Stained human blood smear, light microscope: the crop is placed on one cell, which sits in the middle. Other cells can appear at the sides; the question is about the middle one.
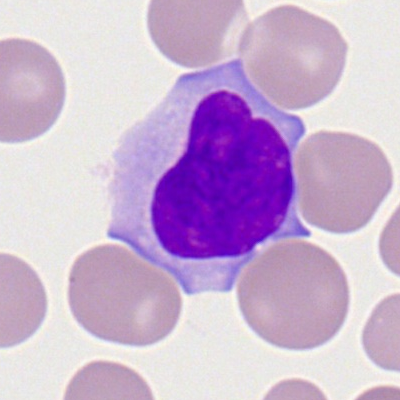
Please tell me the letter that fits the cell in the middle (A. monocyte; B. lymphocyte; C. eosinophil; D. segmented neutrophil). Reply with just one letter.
B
